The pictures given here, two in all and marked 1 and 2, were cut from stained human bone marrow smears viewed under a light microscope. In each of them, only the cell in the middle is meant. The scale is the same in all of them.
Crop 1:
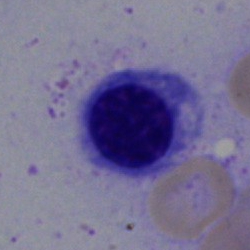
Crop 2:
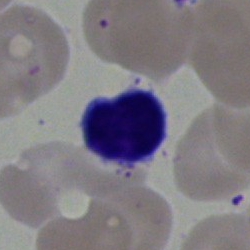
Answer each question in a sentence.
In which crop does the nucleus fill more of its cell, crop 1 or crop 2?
In crop 2 the nucleus takes up the larger part of its cell.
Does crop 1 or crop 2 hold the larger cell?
Crop 1 holds the larger cell; it covers about 2 times the area of the cell in crop 2.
